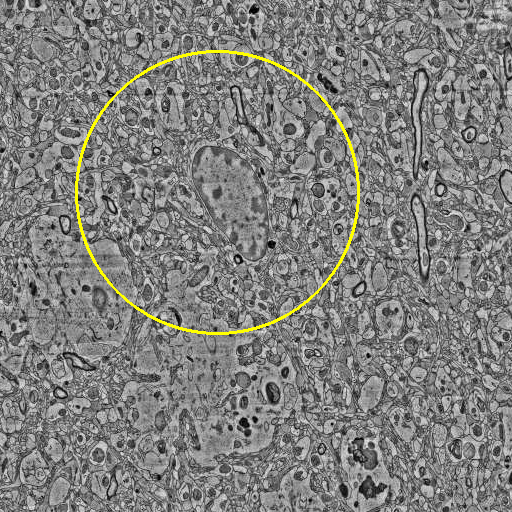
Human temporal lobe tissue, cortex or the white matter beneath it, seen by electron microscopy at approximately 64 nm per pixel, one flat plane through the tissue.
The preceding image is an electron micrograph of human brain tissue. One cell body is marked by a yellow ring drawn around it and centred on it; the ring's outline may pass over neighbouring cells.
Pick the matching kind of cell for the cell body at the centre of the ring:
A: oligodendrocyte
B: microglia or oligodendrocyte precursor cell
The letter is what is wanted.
B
